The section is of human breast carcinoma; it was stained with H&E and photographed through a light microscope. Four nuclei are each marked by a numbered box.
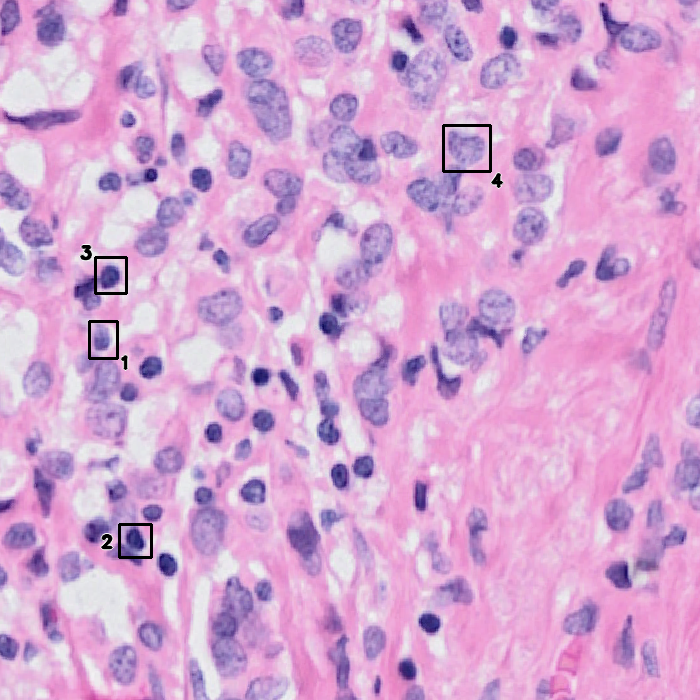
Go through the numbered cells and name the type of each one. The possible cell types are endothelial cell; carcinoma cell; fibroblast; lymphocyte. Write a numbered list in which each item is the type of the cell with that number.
1. lymphocyte
2. lymphocyte
3. lymphocyte
4. carcinoma cell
